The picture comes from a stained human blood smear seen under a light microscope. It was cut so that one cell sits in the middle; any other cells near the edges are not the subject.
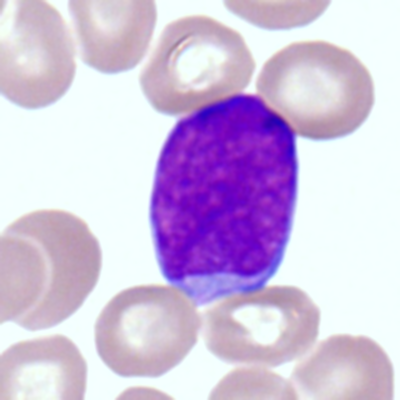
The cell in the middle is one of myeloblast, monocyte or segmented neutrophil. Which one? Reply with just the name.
myeloblast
